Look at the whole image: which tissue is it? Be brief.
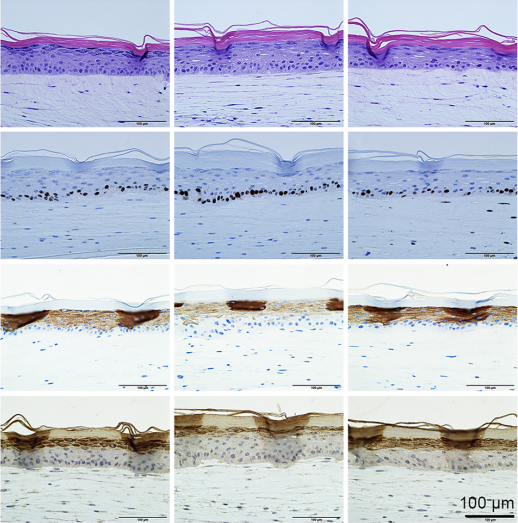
Skin equivalents.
